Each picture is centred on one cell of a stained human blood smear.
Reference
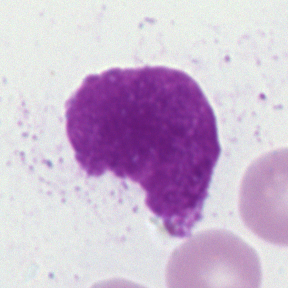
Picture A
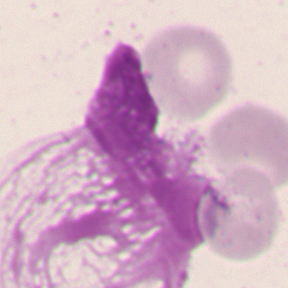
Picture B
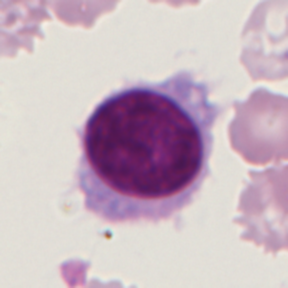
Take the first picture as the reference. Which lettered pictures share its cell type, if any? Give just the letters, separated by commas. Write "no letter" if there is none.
A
